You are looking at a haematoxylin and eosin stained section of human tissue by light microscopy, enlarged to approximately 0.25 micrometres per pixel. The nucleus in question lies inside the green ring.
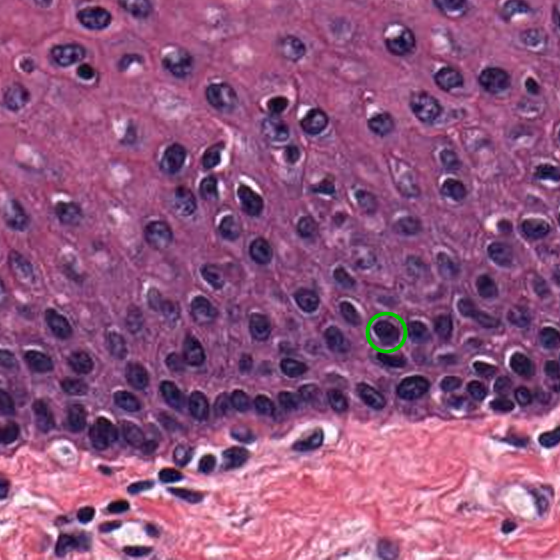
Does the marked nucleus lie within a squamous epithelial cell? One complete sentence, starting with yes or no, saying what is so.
Yes, it is within a squamous epithelial cell that the marked nucleus lies.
